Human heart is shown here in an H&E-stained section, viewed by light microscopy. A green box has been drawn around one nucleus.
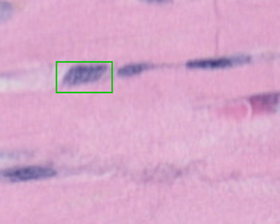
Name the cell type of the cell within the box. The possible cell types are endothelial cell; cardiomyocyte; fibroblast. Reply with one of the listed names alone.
fibroblast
